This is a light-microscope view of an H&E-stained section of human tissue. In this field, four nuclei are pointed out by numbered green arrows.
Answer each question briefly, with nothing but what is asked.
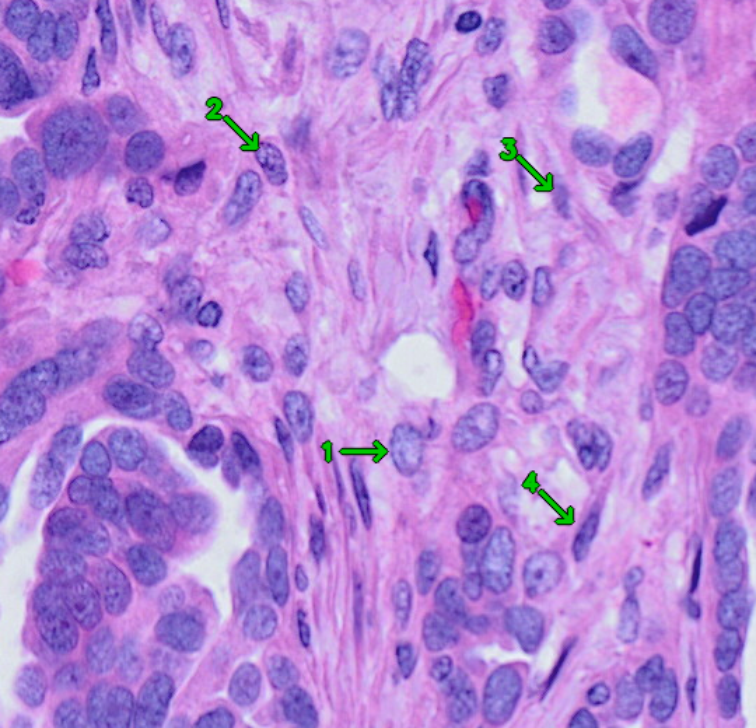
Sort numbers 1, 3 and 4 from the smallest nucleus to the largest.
3, 4, 1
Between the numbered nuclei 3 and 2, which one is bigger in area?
2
